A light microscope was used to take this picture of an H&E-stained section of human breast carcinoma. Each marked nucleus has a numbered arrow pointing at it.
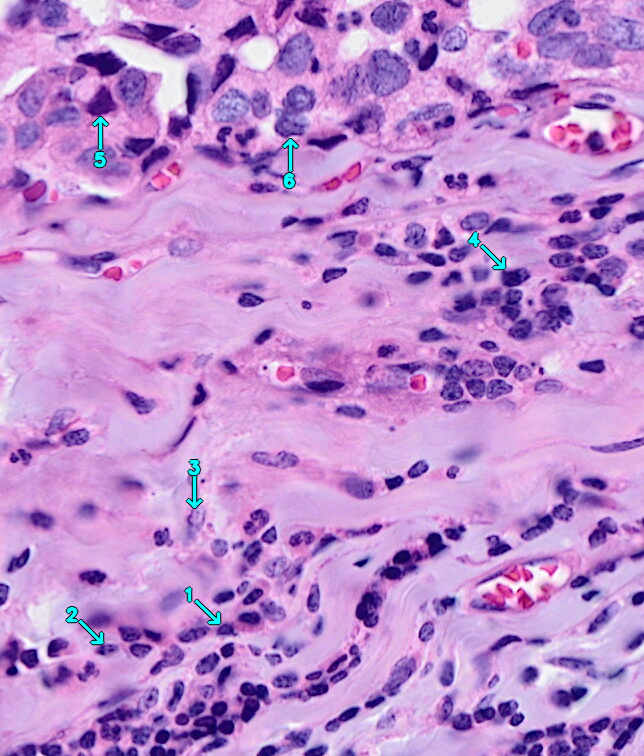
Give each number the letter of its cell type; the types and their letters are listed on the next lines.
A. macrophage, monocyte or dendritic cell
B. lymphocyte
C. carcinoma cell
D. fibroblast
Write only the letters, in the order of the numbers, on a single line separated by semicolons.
B; B; A; B; C; C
